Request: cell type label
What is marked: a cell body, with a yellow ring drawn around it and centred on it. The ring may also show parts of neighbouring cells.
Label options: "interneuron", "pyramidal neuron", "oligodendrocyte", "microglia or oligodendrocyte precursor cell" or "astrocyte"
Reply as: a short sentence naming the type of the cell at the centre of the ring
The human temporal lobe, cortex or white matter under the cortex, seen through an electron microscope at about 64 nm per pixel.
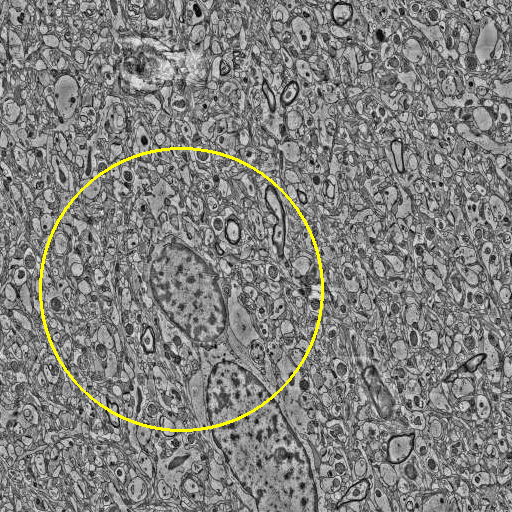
The marked cell body is that of an oligodendrocyte.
